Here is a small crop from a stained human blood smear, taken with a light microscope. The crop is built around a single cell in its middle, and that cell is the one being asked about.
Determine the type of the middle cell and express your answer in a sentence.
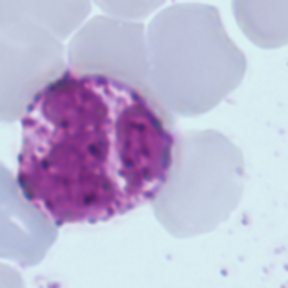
The middle cell in this particular crop is a basophil.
